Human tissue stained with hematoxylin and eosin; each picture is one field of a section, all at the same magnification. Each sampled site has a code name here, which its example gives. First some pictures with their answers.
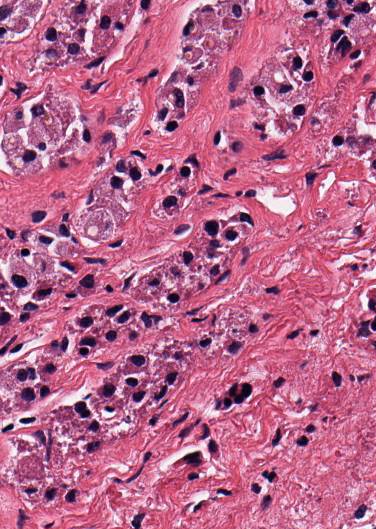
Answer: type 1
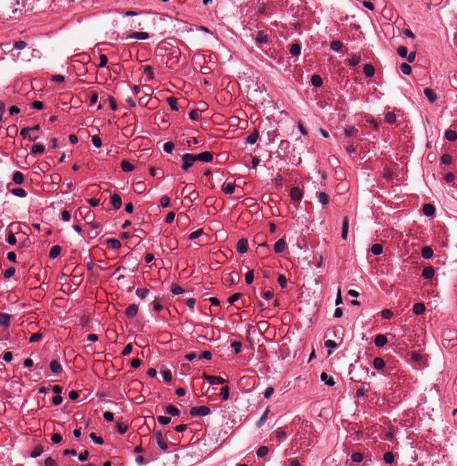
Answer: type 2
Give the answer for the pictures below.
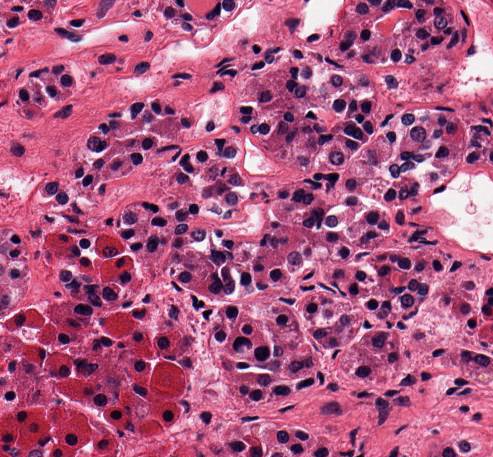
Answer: type 1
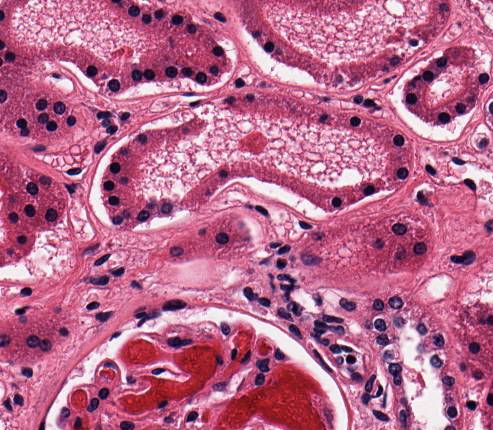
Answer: type 2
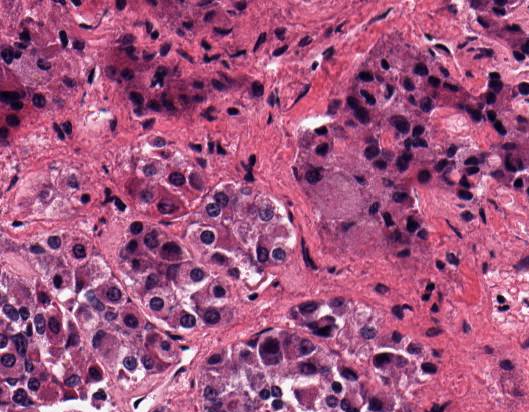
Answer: type 1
